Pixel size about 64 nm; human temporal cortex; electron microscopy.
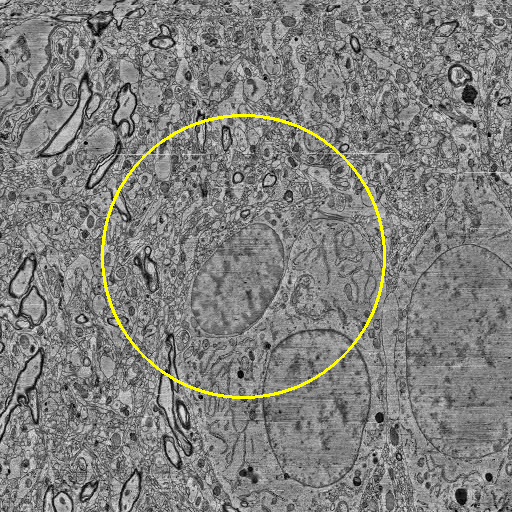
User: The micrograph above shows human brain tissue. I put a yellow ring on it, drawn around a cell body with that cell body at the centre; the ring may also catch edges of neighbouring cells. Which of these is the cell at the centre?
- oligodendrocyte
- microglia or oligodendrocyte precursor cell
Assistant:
oligodendrocyte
